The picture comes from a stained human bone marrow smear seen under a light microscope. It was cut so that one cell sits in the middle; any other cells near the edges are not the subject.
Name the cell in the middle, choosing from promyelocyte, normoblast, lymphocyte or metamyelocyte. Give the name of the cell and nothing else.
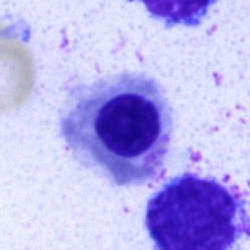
normoblast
